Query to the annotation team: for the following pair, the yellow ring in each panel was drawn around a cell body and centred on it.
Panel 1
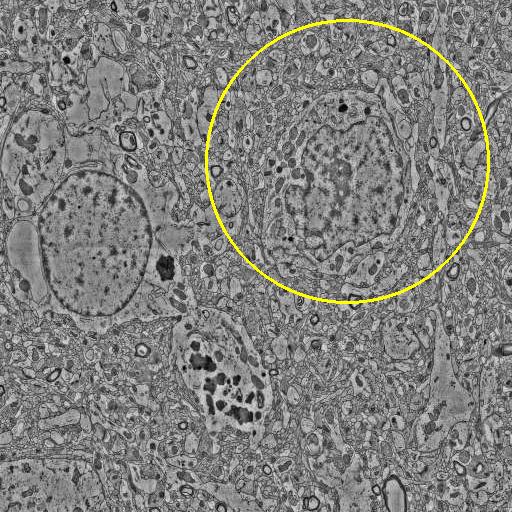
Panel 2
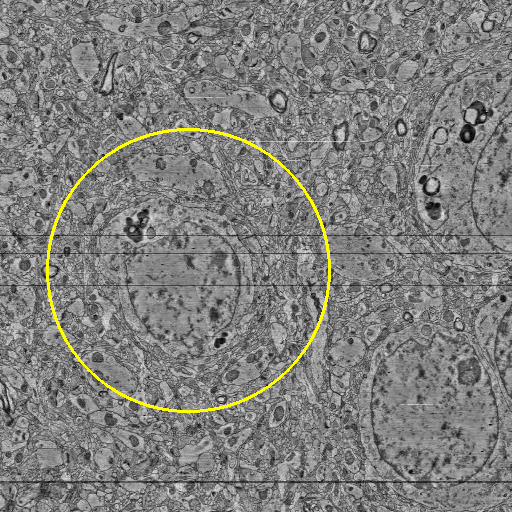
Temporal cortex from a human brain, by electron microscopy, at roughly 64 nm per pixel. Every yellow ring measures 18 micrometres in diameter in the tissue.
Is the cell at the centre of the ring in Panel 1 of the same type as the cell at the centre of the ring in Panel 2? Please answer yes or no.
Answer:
yes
